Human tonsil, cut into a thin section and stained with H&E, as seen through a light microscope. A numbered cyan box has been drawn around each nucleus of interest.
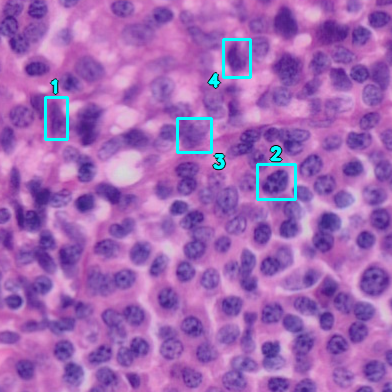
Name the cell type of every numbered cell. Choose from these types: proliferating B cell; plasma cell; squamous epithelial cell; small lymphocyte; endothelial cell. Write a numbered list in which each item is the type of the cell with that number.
1. squamous epithelial cell
2. plasma cell
3. squamous epithelial cell
4. squamous epithelial cell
